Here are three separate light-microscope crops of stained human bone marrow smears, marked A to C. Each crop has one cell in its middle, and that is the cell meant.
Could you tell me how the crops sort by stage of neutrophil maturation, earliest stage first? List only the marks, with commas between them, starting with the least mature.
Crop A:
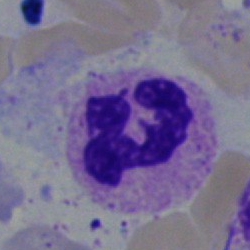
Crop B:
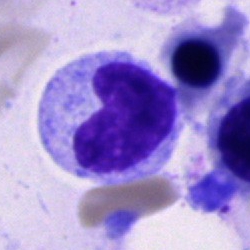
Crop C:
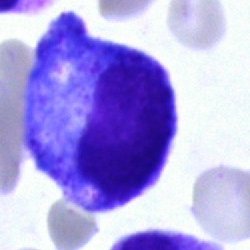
C, B, A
